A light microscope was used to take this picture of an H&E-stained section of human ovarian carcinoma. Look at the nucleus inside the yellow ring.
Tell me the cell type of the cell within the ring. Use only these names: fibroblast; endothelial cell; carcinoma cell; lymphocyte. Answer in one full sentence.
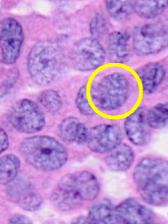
Within the stained tissue, the cell within the ring is a carcinoma cell.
